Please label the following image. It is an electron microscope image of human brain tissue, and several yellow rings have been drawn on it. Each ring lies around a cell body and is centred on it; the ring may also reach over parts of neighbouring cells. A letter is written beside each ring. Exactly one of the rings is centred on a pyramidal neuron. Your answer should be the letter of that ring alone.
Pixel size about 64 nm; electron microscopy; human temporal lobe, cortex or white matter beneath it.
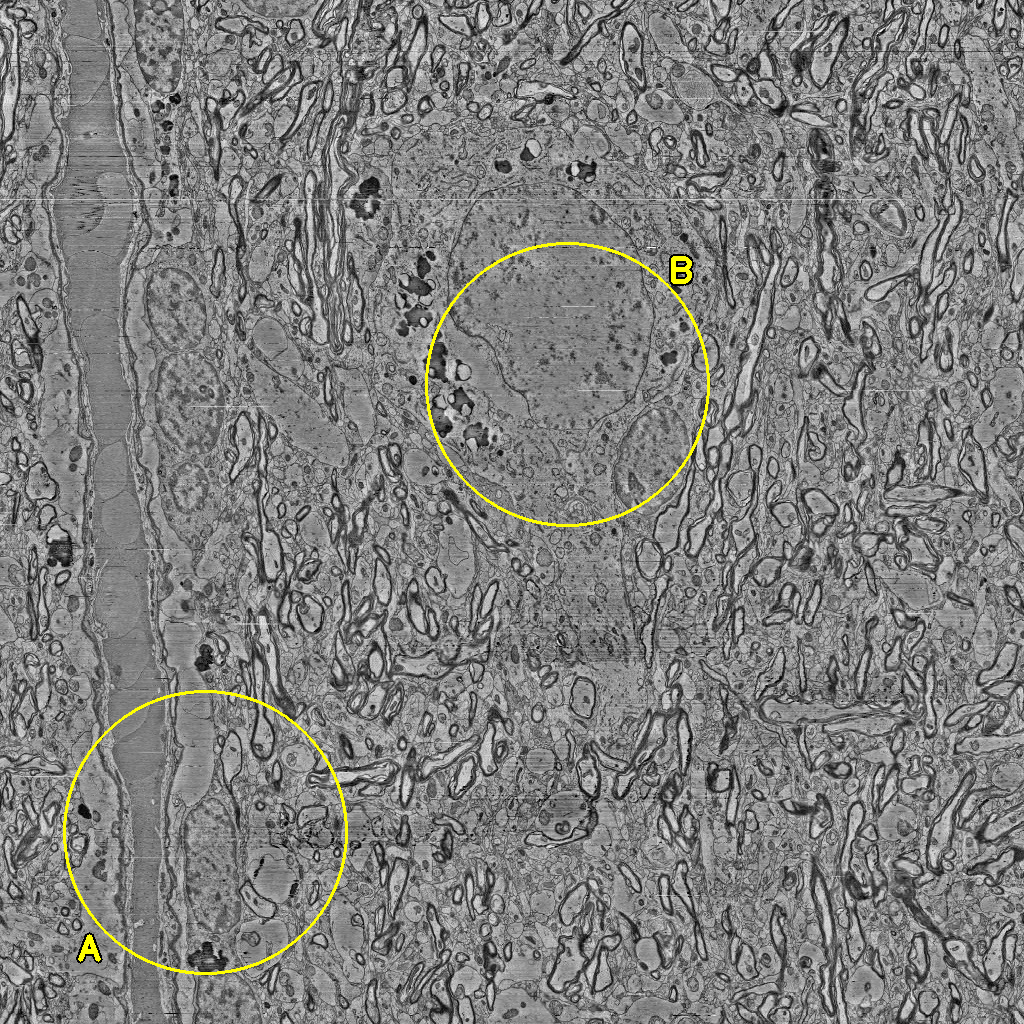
B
